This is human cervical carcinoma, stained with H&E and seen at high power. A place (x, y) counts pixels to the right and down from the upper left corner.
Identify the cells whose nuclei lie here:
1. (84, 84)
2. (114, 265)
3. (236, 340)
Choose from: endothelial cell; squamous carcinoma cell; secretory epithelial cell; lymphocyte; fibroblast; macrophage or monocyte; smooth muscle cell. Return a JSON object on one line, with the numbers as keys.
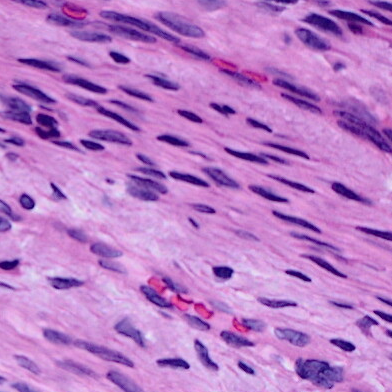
{"1": "fibroblast", "2": "endothelial cell", "3": "endothelial cell"}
